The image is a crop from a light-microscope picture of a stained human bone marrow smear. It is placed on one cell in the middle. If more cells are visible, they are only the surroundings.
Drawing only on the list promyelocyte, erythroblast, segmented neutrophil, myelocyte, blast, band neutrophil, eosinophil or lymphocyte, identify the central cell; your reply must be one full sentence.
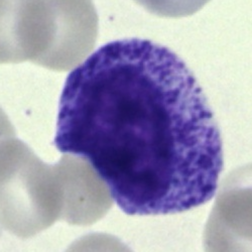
The cell at the central position in this crop is a promyelocyte.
